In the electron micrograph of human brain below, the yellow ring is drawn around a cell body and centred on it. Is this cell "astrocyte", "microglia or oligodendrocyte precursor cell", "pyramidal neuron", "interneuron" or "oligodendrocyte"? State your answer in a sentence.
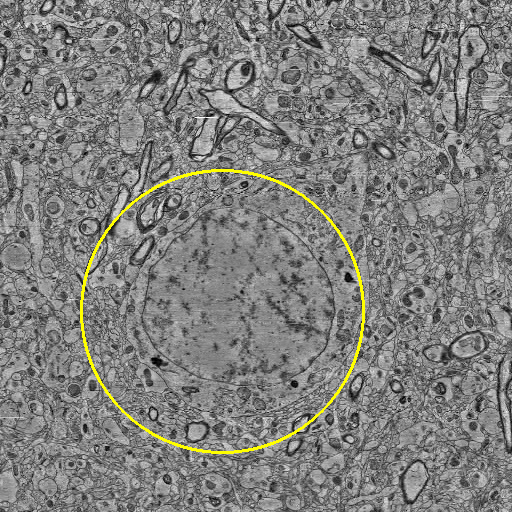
The cell in the middle of the ring is a pyramidal neuron.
